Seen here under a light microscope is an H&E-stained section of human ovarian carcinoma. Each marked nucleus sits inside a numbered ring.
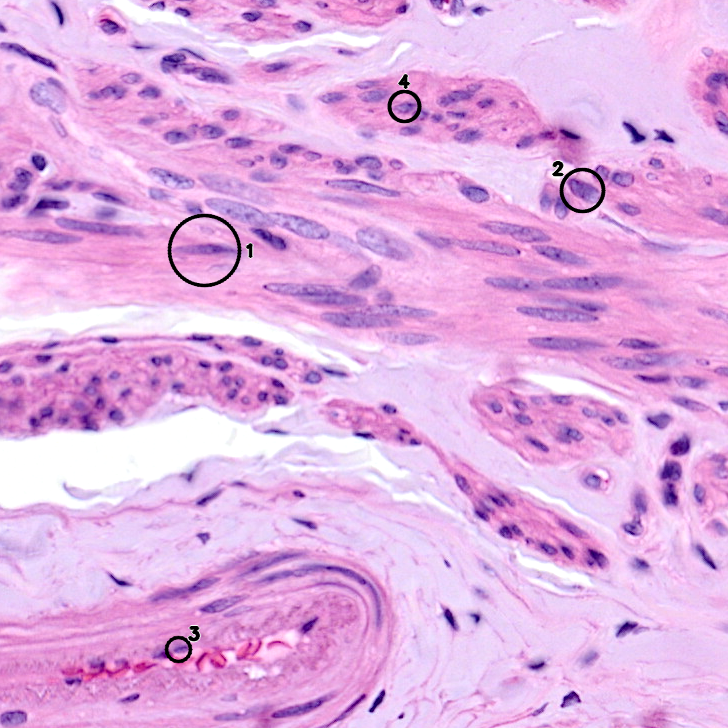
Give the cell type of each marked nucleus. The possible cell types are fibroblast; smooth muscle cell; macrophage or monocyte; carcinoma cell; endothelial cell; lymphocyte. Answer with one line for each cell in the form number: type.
1: smooth muscle cell
2: smooth muscle cell
3: endothelial cell
4: smooth muscle cell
